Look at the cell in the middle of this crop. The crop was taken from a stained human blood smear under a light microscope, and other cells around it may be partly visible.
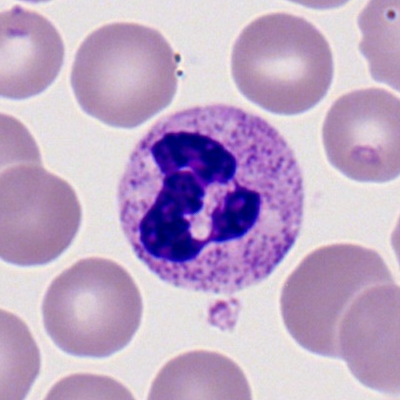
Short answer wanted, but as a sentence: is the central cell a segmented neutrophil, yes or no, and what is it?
Yes, the cell in the middle of this smear crop is a segmented neutrophil.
